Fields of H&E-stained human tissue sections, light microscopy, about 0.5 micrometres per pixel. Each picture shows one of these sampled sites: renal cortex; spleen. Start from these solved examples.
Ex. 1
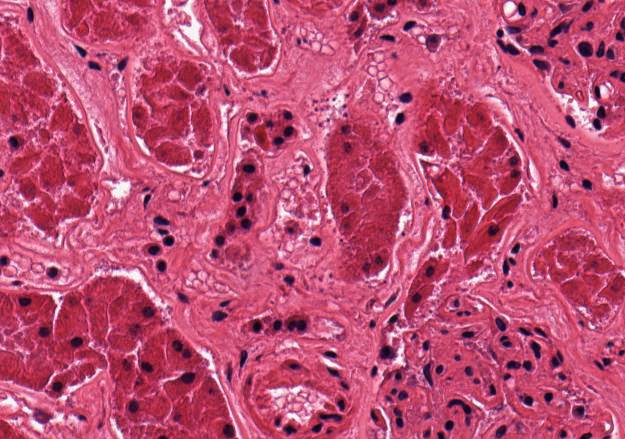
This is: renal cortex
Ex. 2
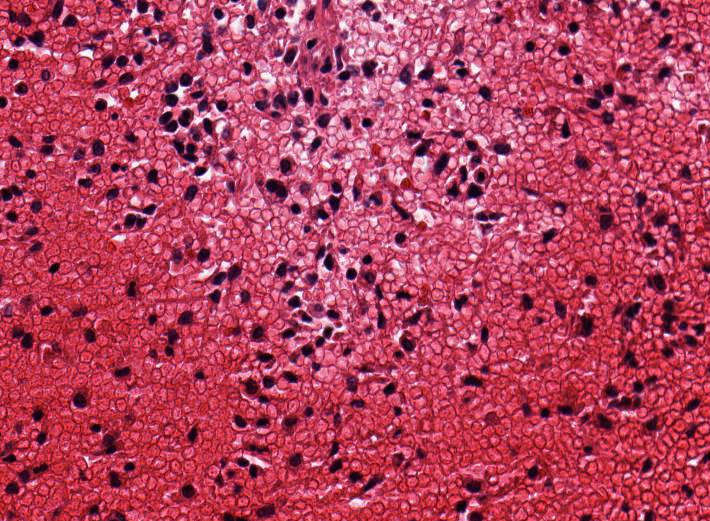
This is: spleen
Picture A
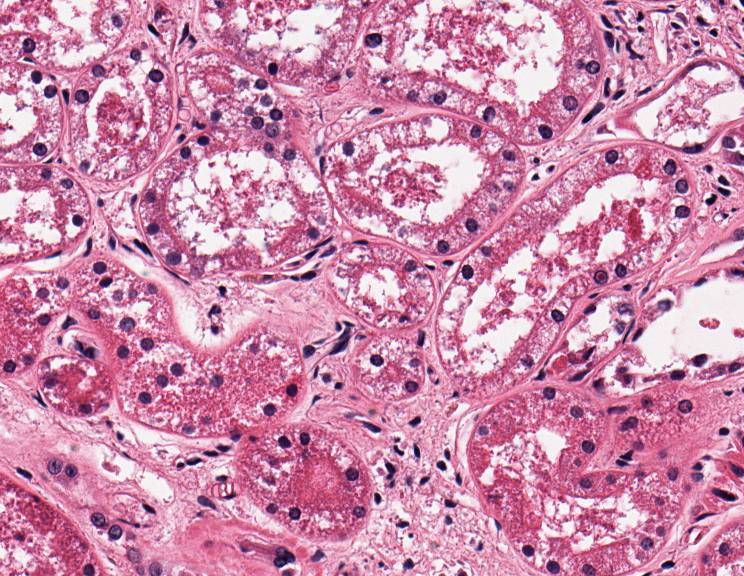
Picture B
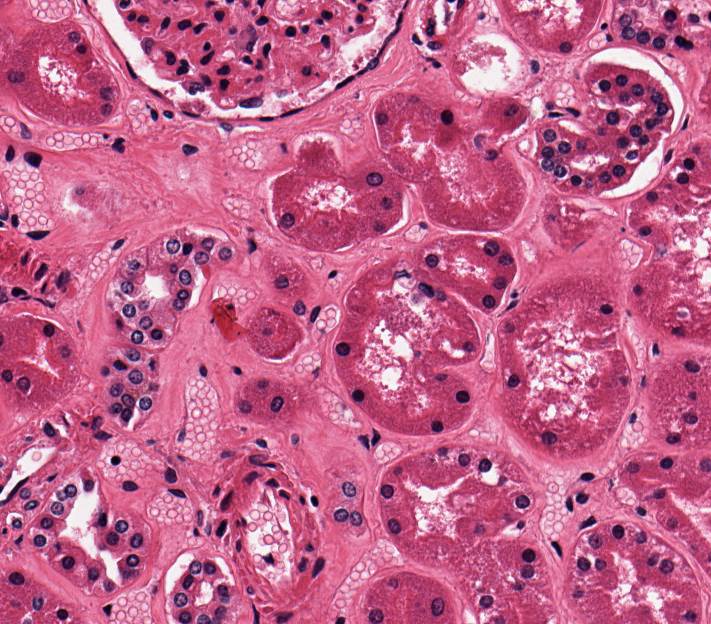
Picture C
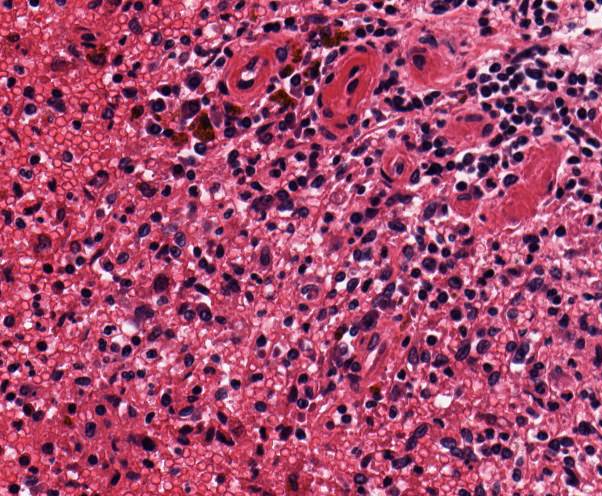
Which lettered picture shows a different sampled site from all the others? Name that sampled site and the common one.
C: spleen; all the others: renal cortex.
